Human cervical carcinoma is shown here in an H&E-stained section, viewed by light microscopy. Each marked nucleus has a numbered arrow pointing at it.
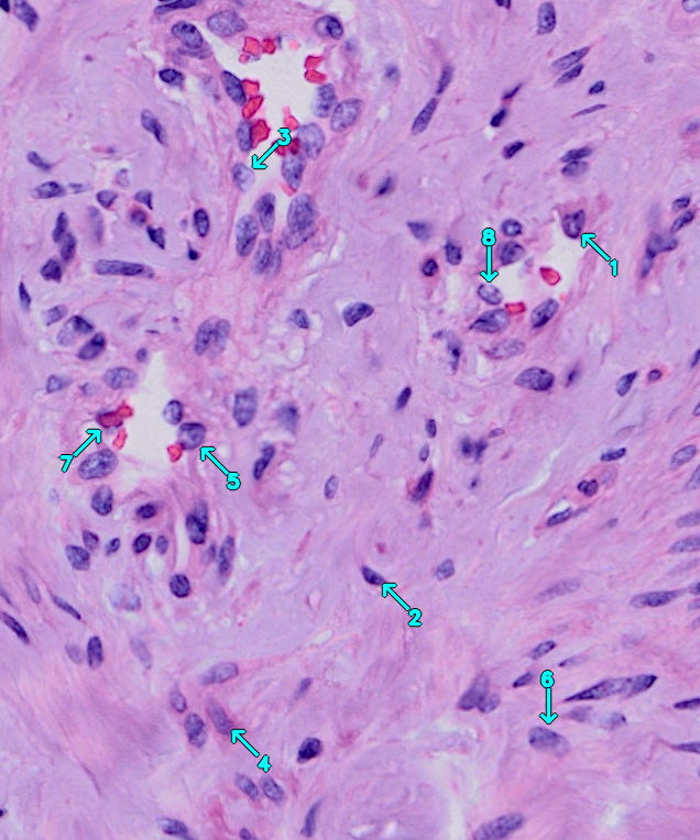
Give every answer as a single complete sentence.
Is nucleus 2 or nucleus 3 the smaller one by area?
Nucleus 2 is the smaller one; nucleus 3 covers about 1.5 times its area.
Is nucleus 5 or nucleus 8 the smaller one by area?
Number 8 is smaller, since number 5 takes up about 2 times as much area.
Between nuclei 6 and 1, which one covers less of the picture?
Nucleus 1 covers less area, with nucleus 6 about 1.5 times as large.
